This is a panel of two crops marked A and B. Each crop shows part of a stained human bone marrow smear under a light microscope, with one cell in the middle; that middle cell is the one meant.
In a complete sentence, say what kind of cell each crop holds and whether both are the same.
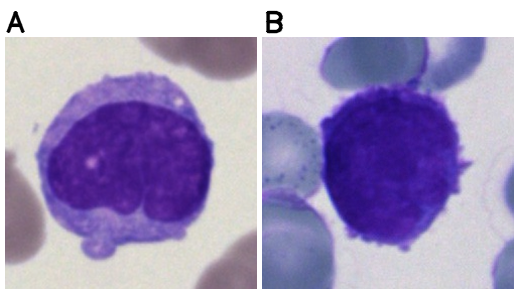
Yes, in short, both crops show blasts.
